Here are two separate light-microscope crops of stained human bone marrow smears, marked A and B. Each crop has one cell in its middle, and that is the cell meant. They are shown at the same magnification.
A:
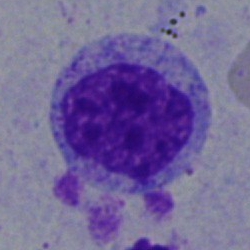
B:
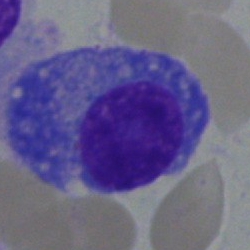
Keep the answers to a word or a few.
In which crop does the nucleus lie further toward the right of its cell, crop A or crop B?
B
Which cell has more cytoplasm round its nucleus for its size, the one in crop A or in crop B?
B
